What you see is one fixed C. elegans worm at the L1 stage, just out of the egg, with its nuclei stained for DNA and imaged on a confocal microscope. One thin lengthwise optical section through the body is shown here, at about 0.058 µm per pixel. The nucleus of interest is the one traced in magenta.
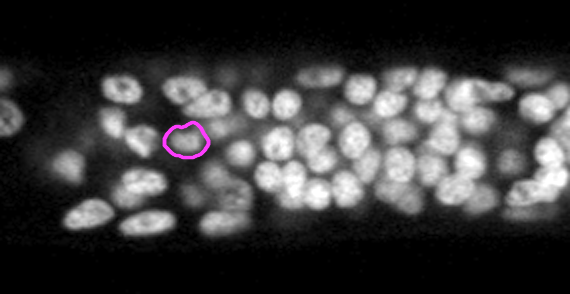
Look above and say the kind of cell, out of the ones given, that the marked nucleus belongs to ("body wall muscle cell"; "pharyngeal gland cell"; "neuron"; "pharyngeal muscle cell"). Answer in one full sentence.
It is the nucleus of a pharyngeal muscle cell.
